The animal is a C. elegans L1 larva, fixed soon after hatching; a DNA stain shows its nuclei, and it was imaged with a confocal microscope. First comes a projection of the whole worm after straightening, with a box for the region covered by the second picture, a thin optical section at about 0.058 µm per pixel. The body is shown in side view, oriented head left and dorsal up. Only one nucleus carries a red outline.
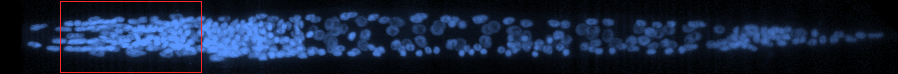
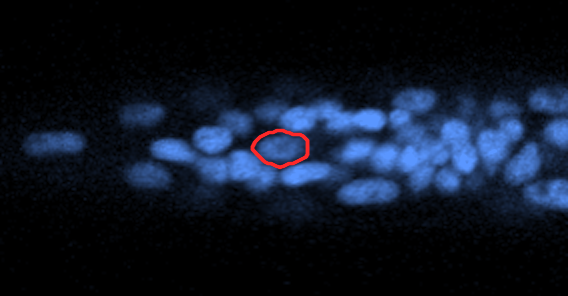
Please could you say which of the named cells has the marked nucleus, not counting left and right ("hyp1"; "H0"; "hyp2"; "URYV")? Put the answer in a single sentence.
The nucleus is from H0, a seam cell.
